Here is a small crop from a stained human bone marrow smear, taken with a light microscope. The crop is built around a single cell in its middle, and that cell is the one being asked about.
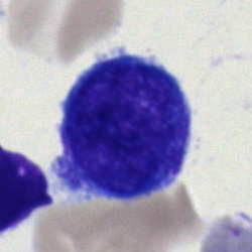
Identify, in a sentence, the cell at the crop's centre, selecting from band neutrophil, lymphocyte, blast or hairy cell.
The cell marked by its central position in the crop is a blast.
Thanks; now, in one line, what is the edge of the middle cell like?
The periphery of this cell is uneven, with ragged portions or projections.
